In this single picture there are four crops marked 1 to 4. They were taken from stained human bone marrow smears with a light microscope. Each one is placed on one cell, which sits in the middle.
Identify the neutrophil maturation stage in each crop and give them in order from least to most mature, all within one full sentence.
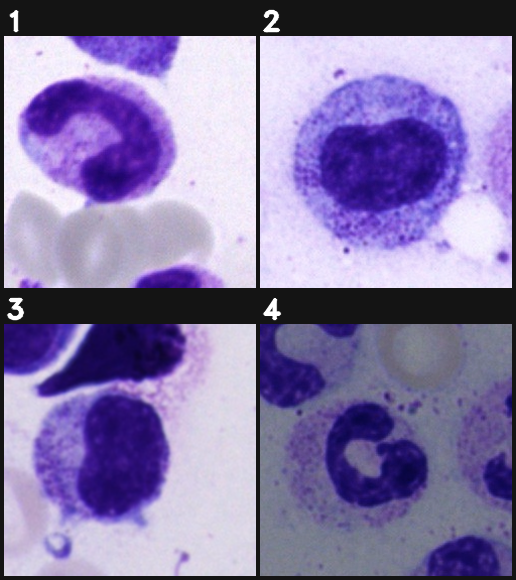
The sequence of maturation runs crop 2 (a promyelocyte), crop 3 (a metamyelocyte), crop 1 (a band neutrophil) and crop 4 (a segmented neutrophil), from least to most mature.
